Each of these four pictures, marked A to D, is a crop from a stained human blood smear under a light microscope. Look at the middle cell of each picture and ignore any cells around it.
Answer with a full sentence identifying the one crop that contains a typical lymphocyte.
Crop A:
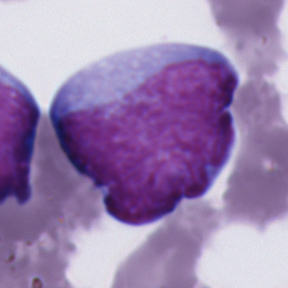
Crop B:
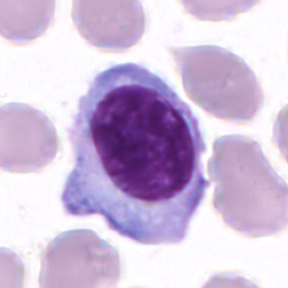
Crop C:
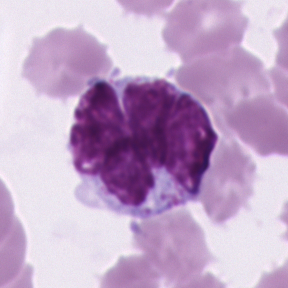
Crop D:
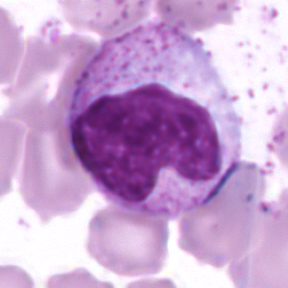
The crop carrying a typical lymphocyte at the center is crop C.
